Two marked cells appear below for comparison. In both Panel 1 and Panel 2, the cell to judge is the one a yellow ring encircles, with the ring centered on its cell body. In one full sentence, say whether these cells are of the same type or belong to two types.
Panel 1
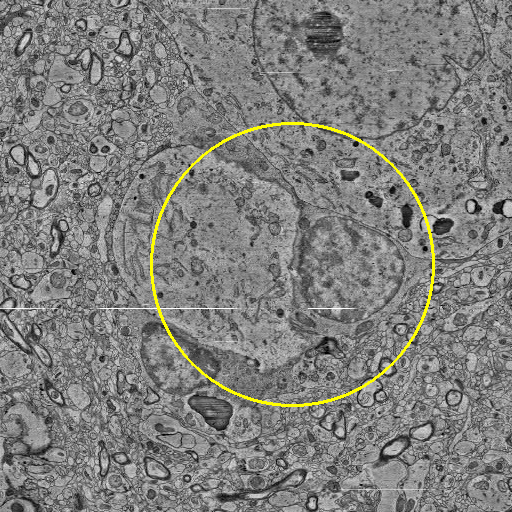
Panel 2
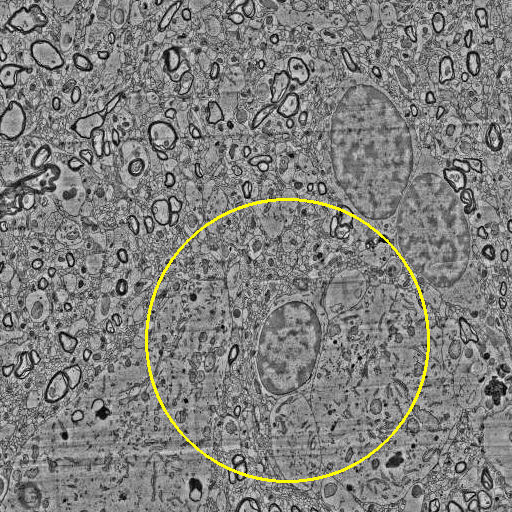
The cell centered in the Panel 1 ring and the one in Panel 2 belong to two types.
